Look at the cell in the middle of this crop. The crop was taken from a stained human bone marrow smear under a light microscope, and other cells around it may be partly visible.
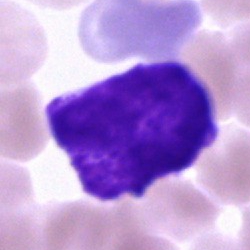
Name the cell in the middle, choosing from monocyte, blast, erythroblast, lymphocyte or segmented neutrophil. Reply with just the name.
blast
